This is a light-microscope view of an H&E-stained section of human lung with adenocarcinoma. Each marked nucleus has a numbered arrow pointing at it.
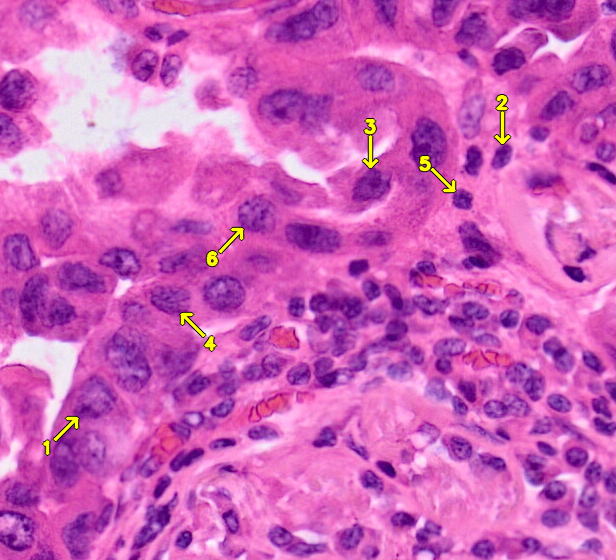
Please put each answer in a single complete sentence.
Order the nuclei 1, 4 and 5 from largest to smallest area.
Largest first, the order by area is 1, 4, 5.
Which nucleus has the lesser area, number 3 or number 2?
With nucleus 3 about 2.5 times its size, nucleus 2 is the smaller of the two.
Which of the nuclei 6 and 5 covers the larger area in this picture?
Nucleus 6 is the larger one, covering about 3 times the area of nucleus 5.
